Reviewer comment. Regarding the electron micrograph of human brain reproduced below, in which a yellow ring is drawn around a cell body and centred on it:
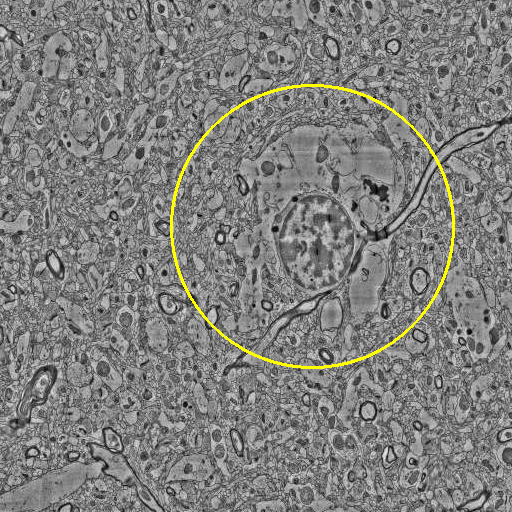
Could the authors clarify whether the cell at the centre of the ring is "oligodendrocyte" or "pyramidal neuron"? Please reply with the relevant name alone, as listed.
oligodendrocyte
